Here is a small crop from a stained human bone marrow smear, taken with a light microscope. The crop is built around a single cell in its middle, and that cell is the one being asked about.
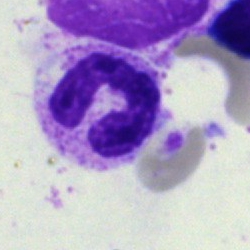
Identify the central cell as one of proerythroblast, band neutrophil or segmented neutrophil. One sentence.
The cell nearest the centre of this crop is a segmented neutrophil.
